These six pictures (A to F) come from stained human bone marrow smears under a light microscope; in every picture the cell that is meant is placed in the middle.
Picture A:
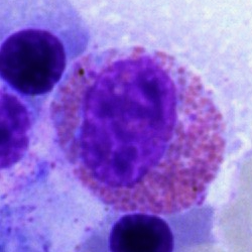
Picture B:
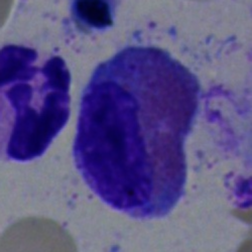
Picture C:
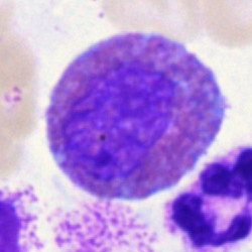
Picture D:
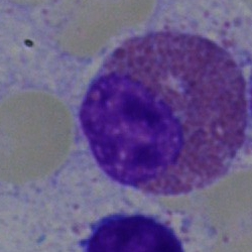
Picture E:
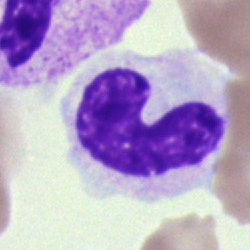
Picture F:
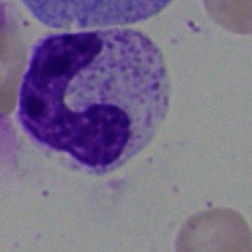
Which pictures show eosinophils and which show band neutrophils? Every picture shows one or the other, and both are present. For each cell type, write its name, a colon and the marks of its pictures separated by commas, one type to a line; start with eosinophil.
eosinophil: A, B, C, D
band neutrophil: E, F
